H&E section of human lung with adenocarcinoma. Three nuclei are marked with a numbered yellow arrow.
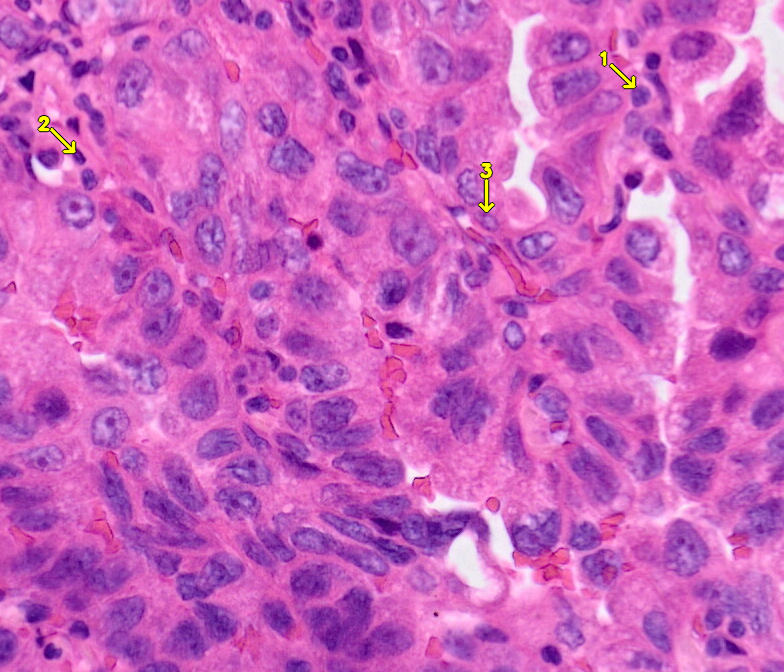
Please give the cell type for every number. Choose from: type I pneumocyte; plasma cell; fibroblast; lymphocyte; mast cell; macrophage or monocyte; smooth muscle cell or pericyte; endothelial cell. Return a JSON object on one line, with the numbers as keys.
{"1": "lymphocyte", "2": "lymphocyte", "3": "macrophage or monocyte"}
